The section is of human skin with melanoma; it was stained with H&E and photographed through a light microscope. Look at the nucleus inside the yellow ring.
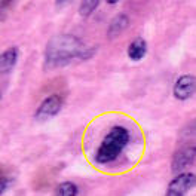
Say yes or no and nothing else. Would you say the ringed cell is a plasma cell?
yes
